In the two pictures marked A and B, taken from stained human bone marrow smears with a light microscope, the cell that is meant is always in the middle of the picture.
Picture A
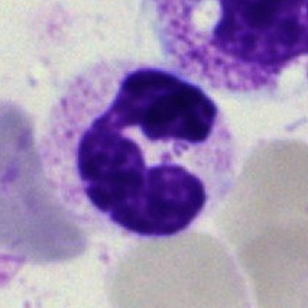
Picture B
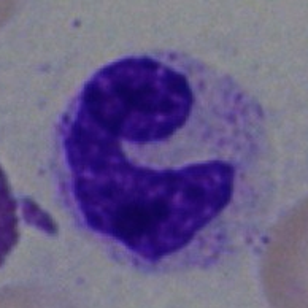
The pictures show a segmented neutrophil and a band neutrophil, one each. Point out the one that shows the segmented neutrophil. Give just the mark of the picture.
A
